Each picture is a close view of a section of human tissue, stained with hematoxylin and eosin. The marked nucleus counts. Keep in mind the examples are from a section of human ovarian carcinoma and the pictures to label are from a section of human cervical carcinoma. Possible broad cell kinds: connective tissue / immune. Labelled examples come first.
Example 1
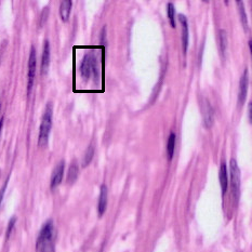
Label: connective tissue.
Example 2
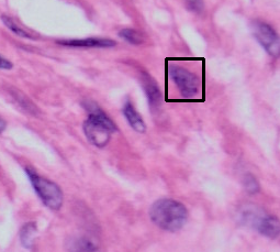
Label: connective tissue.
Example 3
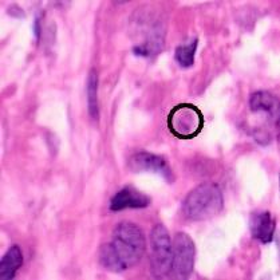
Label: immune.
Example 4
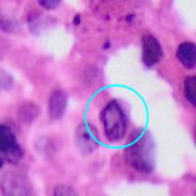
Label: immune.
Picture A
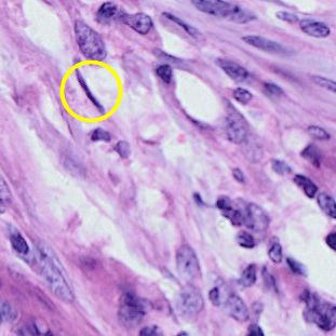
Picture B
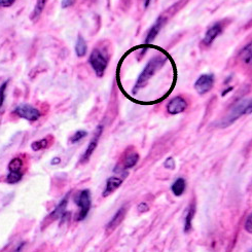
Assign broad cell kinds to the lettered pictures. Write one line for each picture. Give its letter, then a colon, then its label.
A: connective tissue.
B: connective tissue.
